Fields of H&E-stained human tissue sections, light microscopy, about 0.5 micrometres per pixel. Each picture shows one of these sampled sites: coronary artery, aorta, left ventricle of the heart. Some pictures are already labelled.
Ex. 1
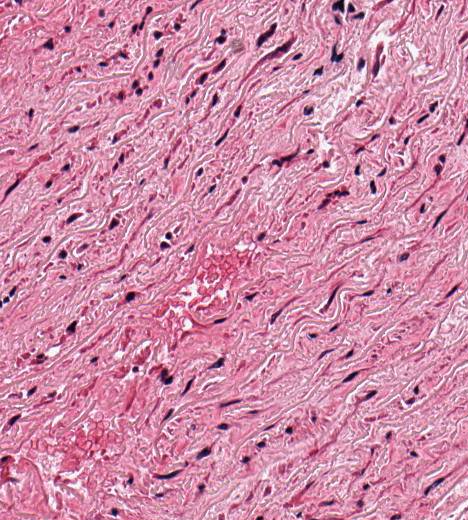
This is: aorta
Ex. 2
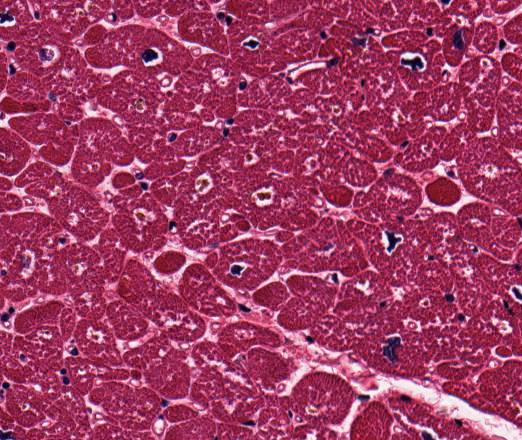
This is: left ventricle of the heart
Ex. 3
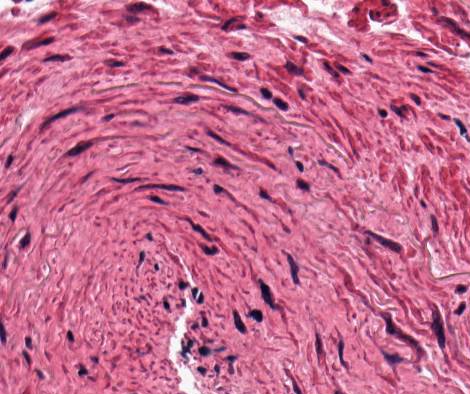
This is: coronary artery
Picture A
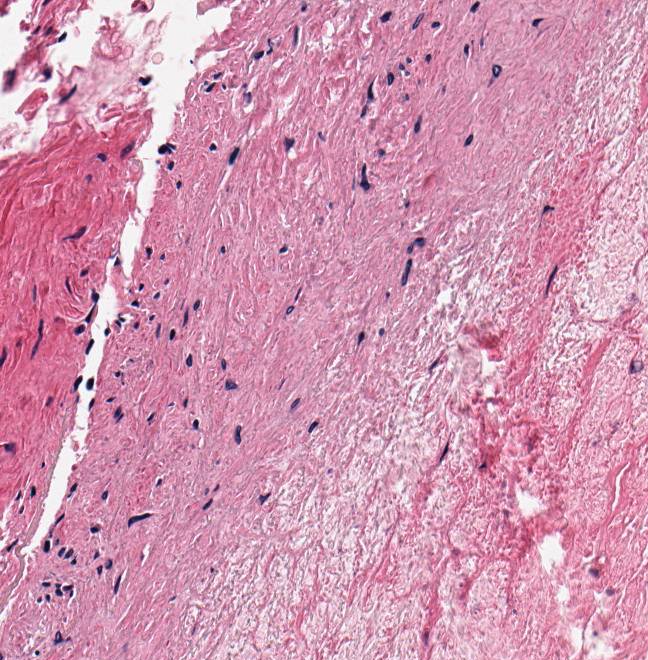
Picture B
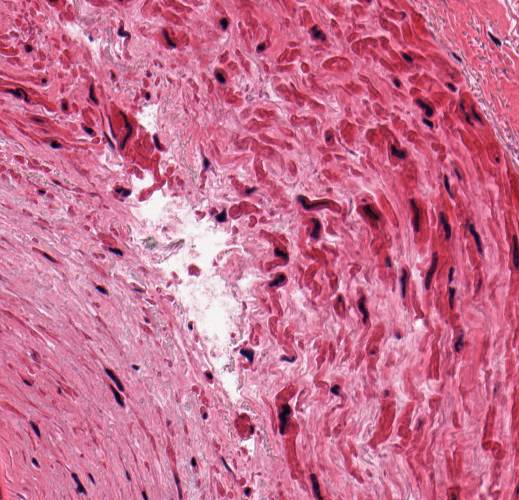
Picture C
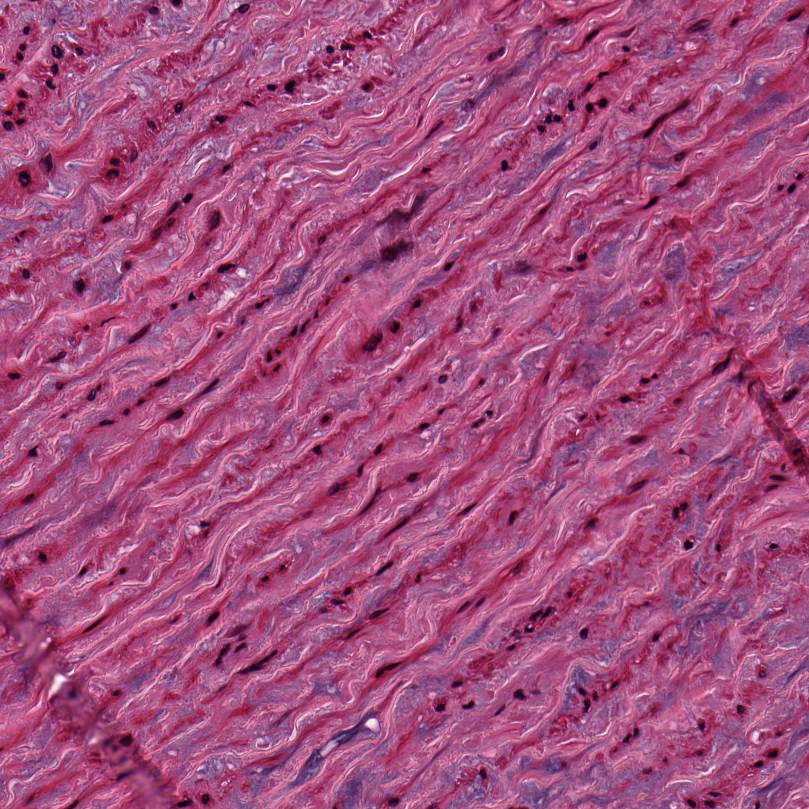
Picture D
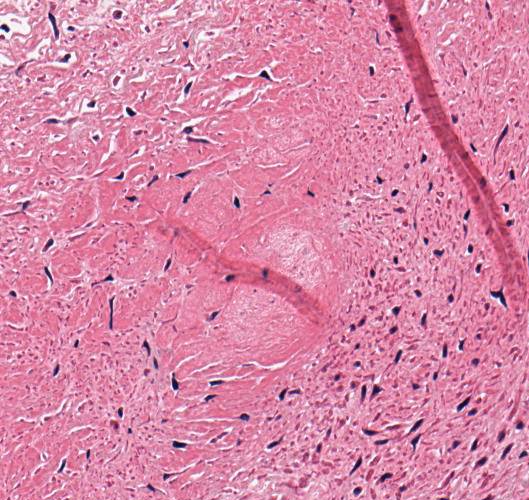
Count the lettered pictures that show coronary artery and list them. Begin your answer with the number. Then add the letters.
Count: 3 (A, B, D)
